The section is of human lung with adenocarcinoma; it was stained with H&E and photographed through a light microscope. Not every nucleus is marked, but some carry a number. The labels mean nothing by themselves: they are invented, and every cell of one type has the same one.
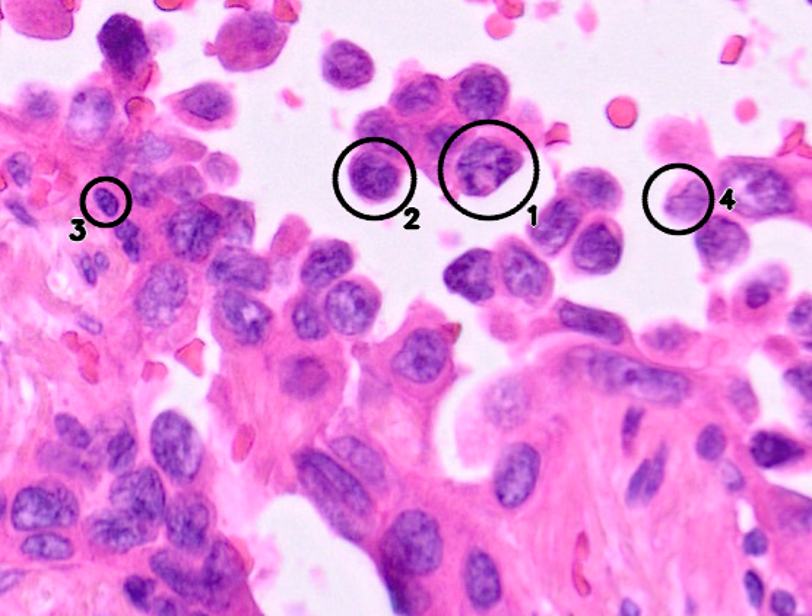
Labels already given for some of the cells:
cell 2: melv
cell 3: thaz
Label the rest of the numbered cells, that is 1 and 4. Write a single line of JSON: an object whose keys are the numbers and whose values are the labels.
{"1": "melv", "4": "melv"}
